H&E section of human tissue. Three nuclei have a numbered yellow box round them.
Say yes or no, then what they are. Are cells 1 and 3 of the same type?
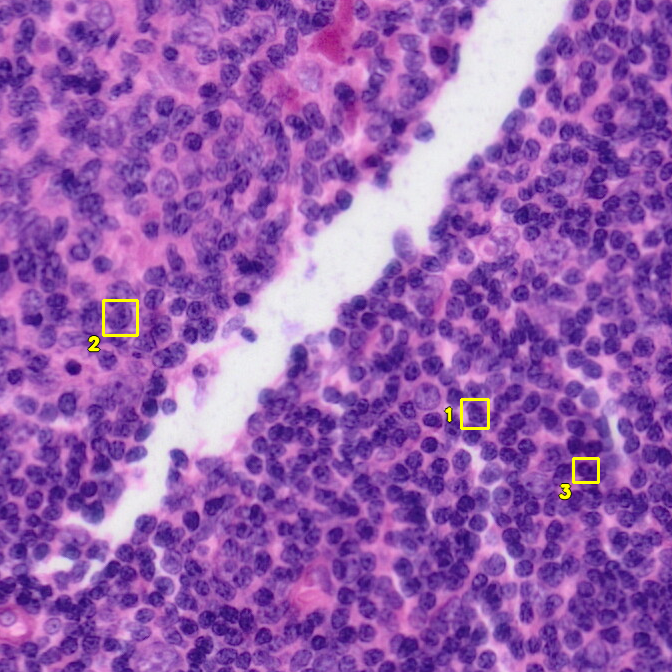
Yes, cells number 1 and number 3 are both small lymphocytes.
